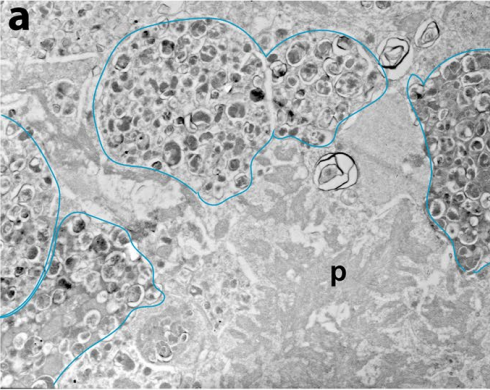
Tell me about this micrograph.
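This electron micrograph of brain shows a central amyloid plaque surrounded by swollen dystrophic neurites. The plaque appears as a pale grey area of fine fibrillar material without organelles. Around it lie large rounded neurite profiles packed with numerous electron-dense vesicles, many with multi-lamellar, concentric membranes. A few small myelinated fibres with dark rings sit between them.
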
